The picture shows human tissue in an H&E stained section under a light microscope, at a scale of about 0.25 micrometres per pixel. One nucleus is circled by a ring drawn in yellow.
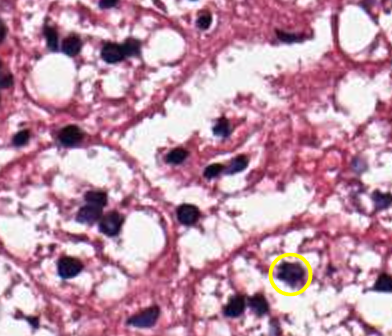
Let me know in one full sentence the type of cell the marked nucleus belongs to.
The marked nucleus is part of an adrenal cortical cell.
